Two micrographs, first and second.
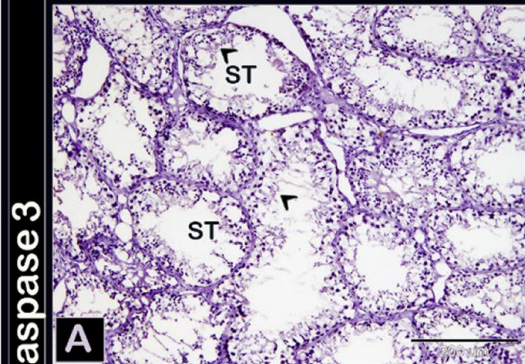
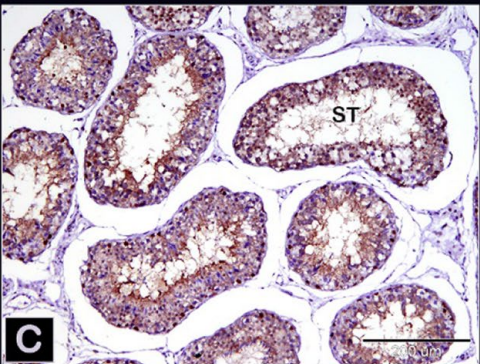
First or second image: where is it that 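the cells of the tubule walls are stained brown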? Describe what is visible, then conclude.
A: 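The second image. Second image: the epithelium of every tubule is filled with brown stain, with many dark brown nuclei. First image: the tubules are purple-blue with almost no brown.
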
